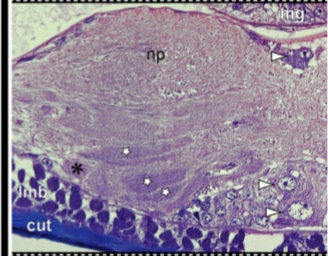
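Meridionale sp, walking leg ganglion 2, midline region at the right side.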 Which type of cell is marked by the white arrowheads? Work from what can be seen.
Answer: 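The arrowheads point to cell bodies at the right edge that are clearly larger than neighbouring cells. These cells have large pale nuclei and ample cytoplasm.
Large cell somata.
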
